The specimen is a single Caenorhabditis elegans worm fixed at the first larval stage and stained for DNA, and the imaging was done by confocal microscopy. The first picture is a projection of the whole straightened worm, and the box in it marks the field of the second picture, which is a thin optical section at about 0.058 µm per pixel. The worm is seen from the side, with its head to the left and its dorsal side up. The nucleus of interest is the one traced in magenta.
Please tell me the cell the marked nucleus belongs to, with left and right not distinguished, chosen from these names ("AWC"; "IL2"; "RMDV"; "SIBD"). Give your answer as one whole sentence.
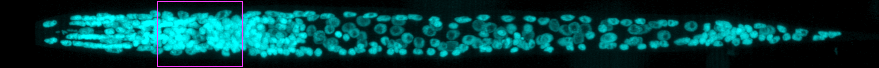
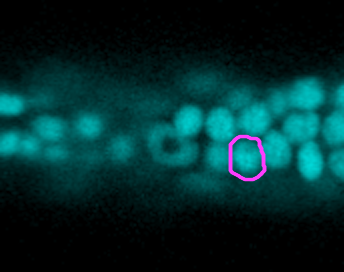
This is the nucleus of SIBD, a neuron.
